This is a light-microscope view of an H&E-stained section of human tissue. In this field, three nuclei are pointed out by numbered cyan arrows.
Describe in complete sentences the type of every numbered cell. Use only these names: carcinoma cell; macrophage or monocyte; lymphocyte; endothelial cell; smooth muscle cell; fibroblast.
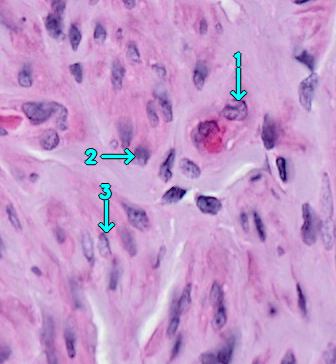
Cell 1 is an endothelial cell. Cells 2 and 3 are smooth muscle cells.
